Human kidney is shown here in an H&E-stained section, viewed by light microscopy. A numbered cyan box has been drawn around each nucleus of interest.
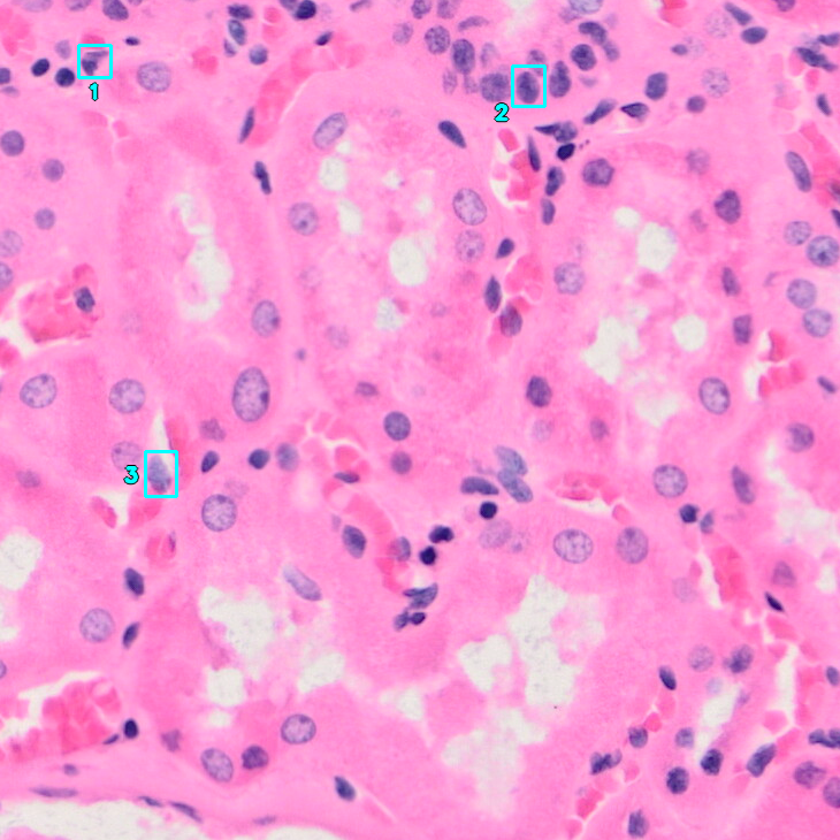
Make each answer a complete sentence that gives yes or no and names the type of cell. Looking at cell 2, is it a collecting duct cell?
Yes, in this section the cell numbered 2 is a collecting duct cell.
